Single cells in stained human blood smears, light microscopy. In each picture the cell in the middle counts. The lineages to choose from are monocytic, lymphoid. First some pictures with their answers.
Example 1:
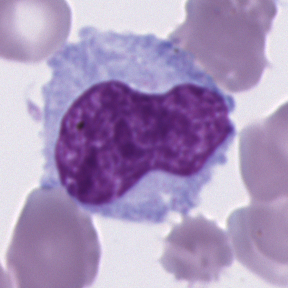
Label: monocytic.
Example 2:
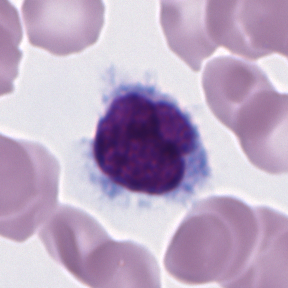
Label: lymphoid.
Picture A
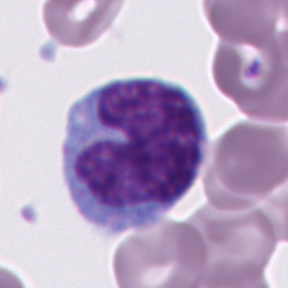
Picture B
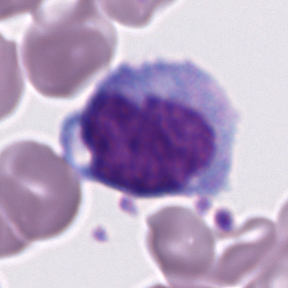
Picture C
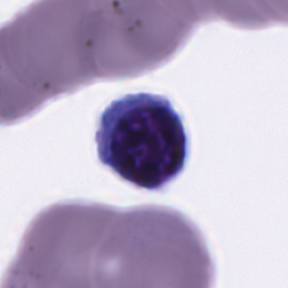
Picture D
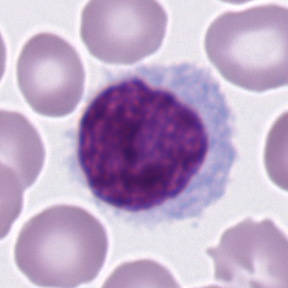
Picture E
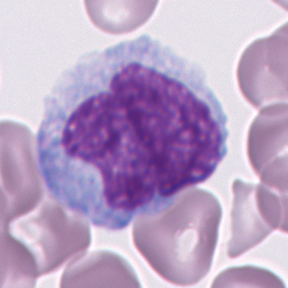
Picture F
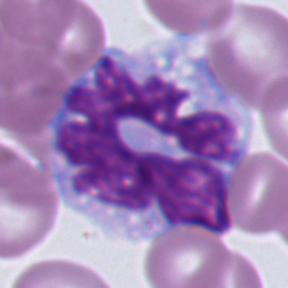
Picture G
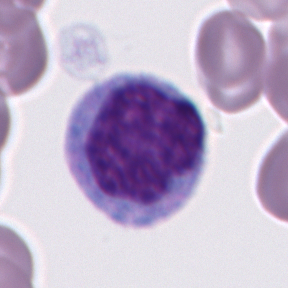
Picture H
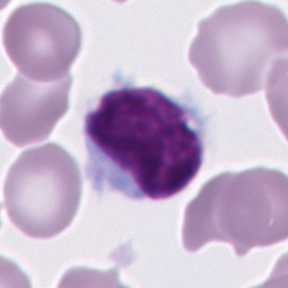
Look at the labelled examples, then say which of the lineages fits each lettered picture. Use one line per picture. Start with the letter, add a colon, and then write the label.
A: monocytic.
B: monocytic.
C: lymphoid.
D: lymphoid.
E: monocytic.
F: monocytic.
G: monocytic.
H: lymphoid.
